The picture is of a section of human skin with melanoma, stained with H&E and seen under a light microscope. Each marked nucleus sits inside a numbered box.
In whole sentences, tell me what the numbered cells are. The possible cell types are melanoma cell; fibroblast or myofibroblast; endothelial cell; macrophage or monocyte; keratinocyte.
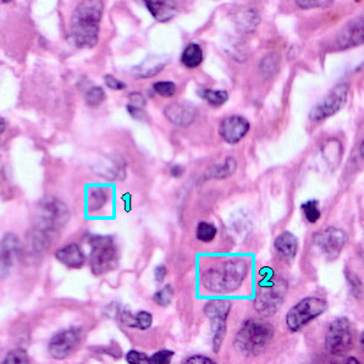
Cell 1 is a macrophage or monocyte and cell 2 is a melanoma cell.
